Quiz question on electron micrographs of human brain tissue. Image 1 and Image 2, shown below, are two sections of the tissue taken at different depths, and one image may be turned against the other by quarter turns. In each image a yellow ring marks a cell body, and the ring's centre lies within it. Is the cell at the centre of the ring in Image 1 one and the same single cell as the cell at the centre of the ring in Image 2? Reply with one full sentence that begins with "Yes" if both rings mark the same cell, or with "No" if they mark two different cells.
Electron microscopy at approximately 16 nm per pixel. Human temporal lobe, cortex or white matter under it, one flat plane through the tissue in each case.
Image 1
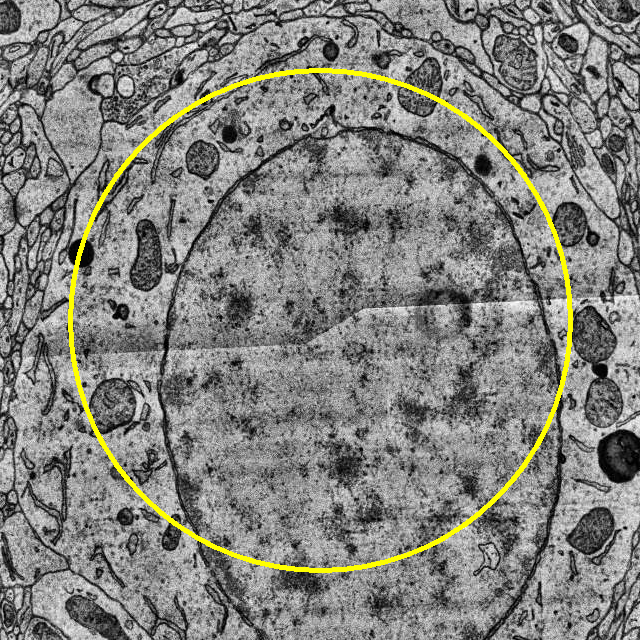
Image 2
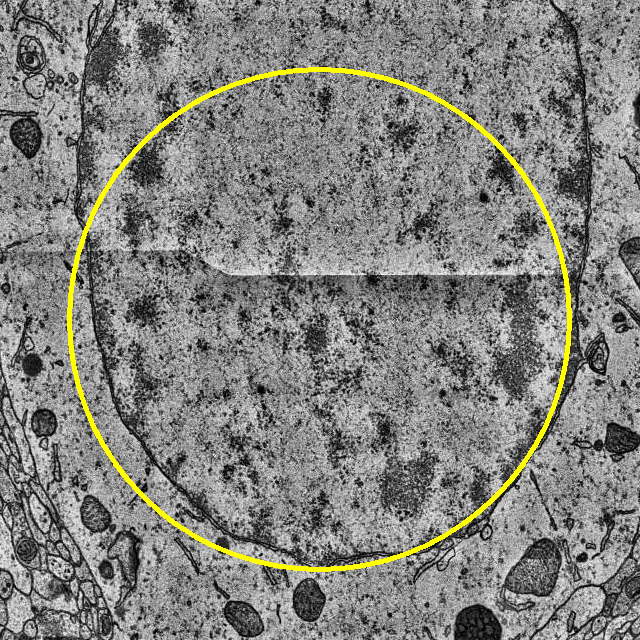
No, the yellow rings mark two separate cells, not one.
